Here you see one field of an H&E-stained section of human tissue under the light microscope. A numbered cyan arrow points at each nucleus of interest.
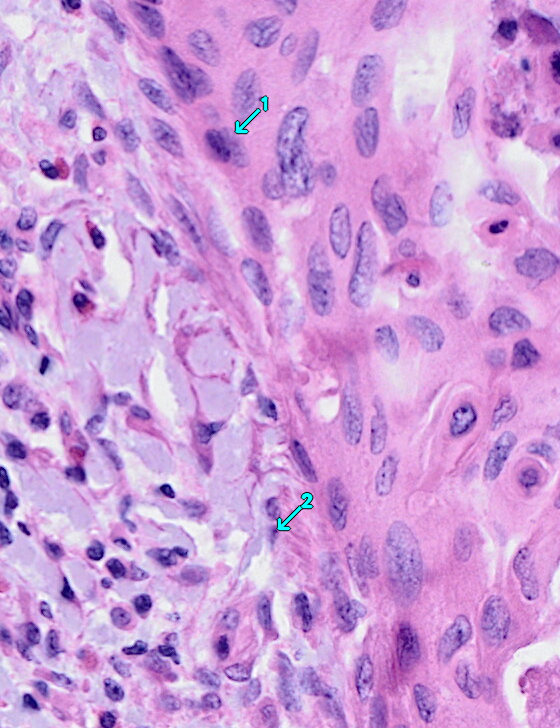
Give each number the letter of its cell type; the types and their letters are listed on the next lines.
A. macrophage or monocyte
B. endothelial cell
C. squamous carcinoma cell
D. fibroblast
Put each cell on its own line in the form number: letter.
1: C
2: D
